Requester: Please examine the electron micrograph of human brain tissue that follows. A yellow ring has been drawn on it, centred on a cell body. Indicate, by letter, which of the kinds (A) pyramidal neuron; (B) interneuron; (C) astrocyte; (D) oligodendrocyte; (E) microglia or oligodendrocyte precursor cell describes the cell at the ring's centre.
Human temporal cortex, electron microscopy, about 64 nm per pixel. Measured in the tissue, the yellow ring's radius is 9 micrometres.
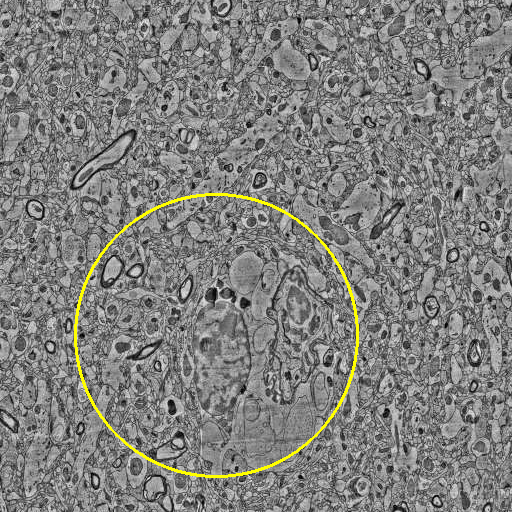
E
